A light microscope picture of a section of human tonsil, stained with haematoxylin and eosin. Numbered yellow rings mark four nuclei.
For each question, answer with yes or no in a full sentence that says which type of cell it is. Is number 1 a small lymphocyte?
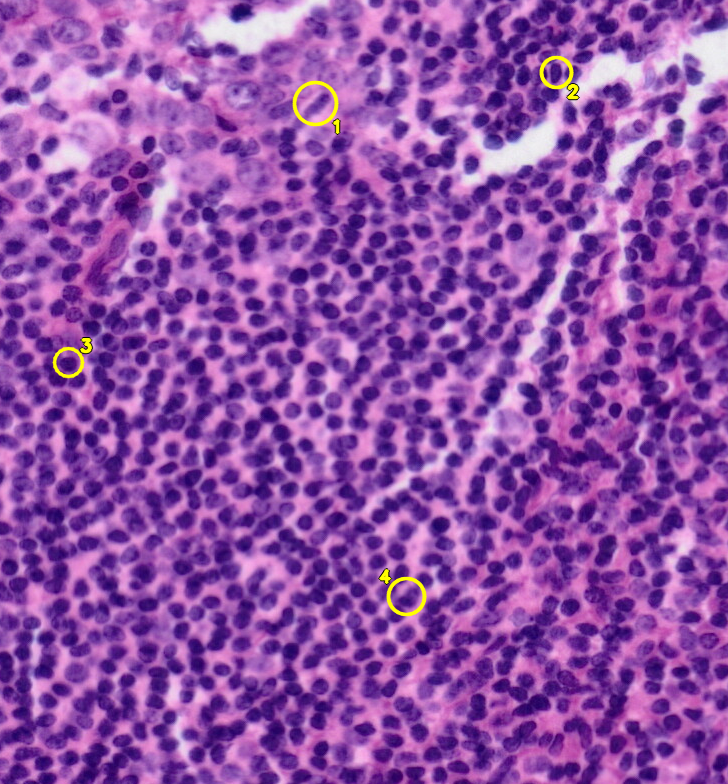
No, the cell given the number 1 is a proliferating B cell, so not a small lymphocyte.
